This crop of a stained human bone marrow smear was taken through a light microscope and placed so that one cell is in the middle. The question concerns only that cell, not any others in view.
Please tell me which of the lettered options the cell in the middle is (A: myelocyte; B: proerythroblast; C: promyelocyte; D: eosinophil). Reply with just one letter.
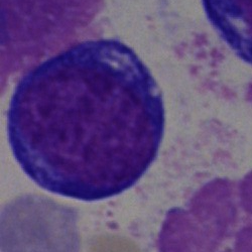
B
